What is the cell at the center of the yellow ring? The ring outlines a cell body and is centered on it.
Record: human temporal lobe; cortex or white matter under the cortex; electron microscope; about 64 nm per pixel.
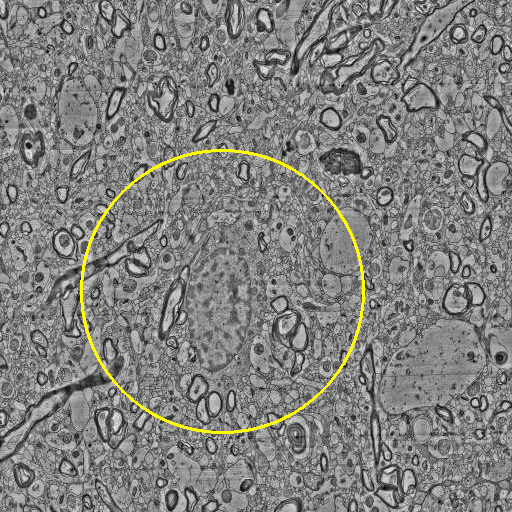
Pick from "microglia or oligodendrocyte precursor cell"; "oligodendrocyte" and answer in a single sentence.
The yellow ring is centered on an oligodendrocyte.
